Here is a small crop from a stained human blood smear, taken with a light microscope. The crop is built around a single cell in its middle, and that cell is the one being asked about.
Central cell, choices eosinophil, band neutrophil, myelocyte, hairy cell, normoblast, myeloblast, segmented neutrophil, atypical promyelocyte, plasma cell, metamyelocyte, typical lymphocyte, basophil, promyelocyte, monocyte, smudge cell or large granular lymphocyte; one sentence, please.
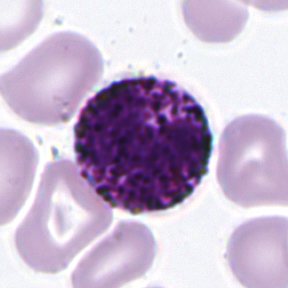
The centrally placed cell is classified as a basophil.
